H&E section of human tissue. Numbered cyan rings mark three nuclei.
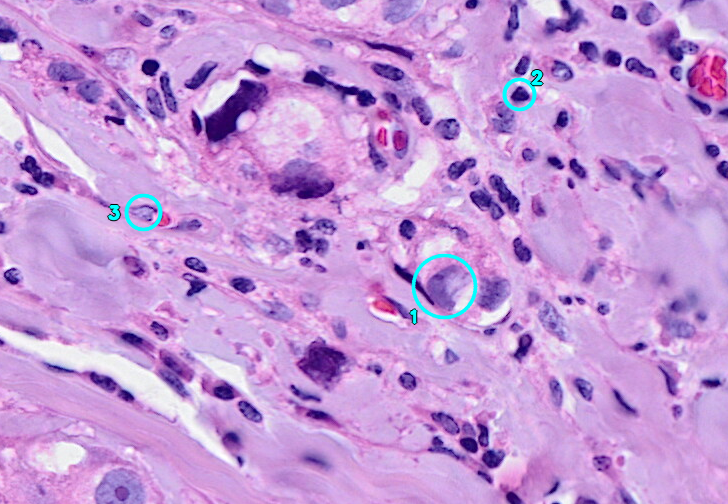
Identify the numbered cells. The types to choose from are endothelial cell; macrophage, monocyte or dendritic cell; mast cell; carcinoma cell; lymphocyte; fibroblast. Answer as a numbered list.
1. carcinoma cell
2. lymphocyte
3. endothelial cell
